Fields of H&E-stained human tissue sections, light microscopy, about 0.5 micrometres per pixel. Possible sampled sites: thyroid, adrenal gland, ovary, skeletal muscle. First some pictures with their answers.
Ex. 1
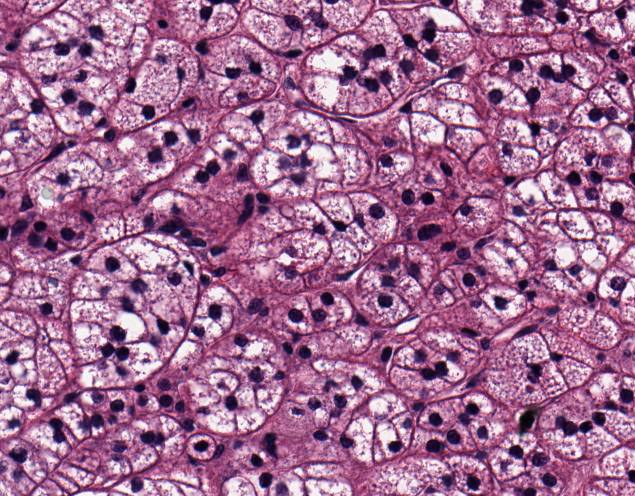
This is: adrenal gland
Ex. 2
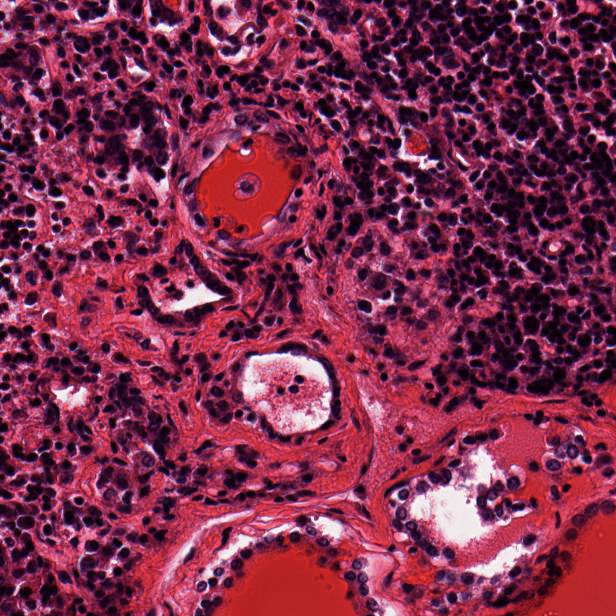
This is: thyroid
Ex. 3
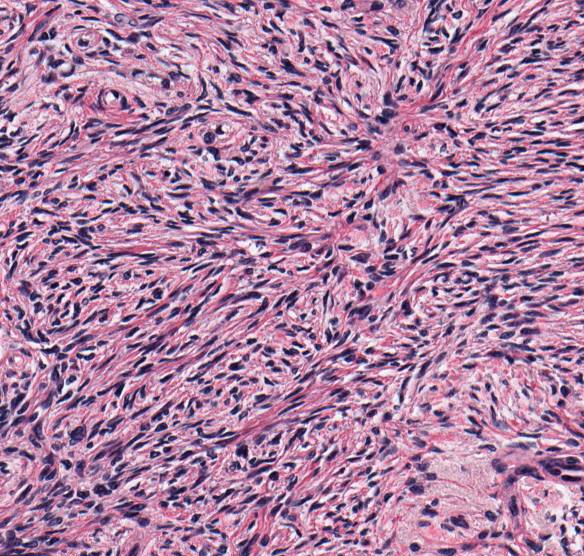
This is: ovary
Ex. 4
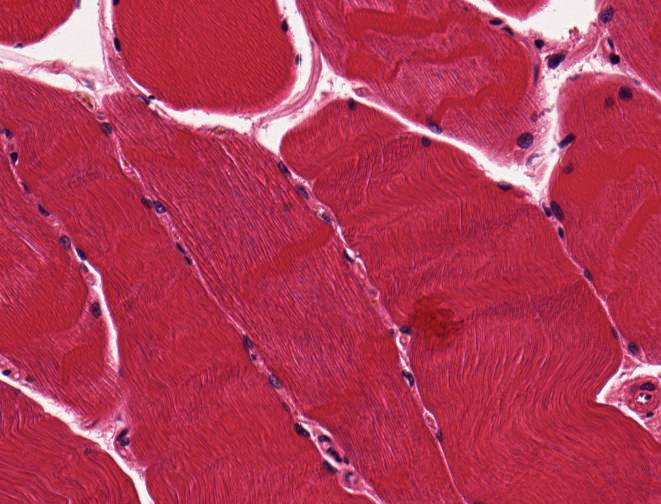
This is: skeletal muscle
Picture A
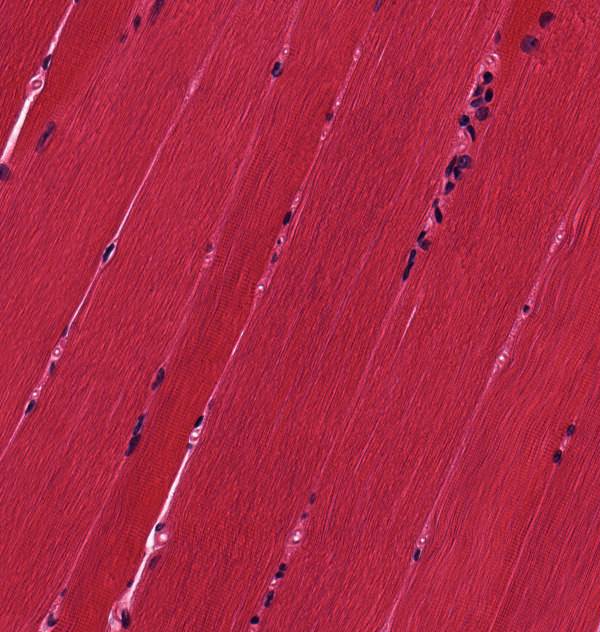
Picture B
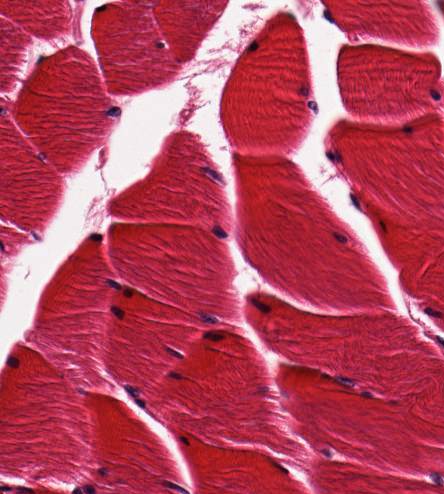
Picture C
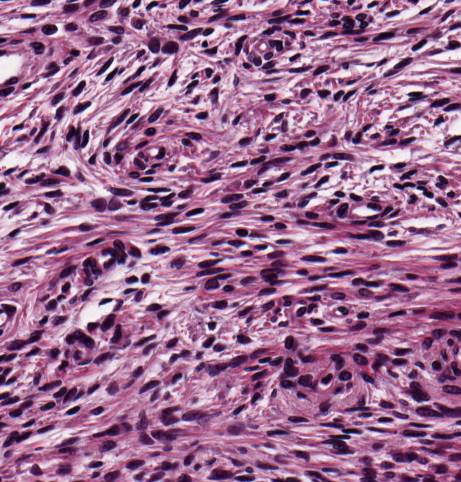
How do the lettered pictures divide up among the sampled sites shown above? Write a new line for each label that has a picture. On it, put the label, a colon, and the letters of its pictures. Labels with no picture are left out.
ovary: C
skeletal muscle: A, B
